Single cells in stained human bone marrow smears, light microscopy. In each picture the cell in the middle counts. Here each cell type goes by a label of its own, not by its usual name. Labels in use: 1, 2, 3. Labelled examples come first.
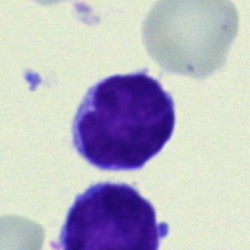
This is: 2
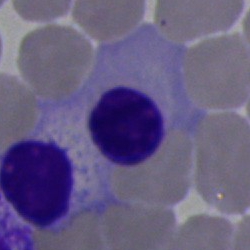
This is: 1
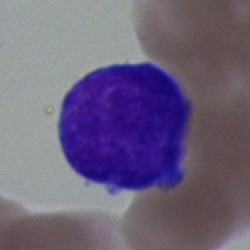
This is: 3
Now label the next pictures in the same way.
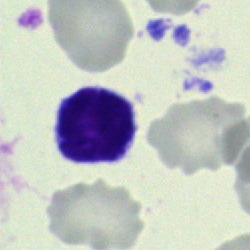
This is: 2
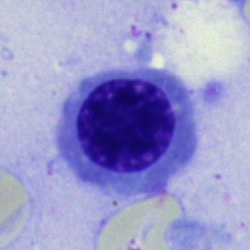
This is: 1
